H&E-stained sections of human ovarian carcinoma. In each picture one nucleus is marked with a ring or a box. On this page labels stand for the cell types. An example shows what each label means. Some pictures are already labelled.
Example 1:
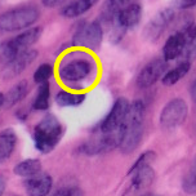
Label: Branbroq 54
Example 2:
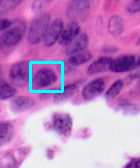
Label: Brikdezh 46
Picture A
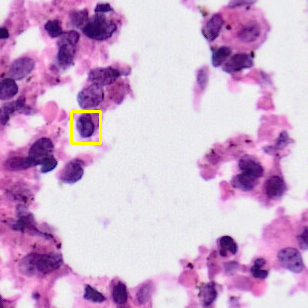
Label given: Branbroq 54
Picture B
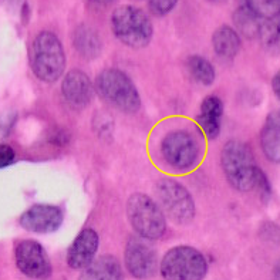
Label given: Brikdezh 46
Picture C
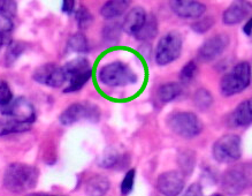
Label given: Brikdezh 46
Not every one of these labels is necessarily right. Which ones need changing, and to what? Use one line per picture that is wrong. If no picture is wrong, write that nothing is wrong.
C: Branbroq 54, not Brikdezh 46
